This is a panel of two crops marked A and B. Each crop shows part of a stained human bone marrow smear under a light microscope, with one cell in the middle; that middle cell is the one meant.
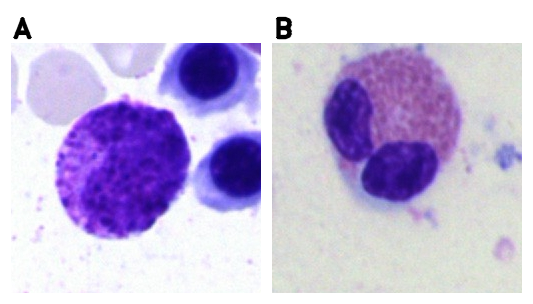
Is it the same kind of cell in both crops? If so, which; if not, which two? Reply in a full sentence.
No, in crop A there is a basophil, and in crop B there is an eosinophil.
